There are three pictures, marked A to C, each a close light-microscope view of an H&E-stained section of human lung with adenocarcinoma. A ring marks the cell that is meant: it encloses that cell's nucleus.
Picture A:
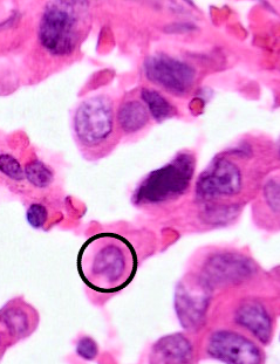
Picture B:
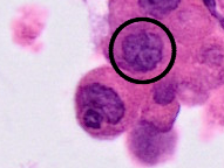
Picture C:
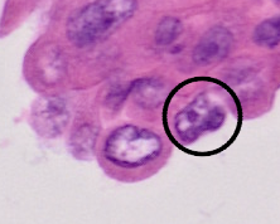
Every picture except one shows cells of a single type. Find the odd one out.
A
